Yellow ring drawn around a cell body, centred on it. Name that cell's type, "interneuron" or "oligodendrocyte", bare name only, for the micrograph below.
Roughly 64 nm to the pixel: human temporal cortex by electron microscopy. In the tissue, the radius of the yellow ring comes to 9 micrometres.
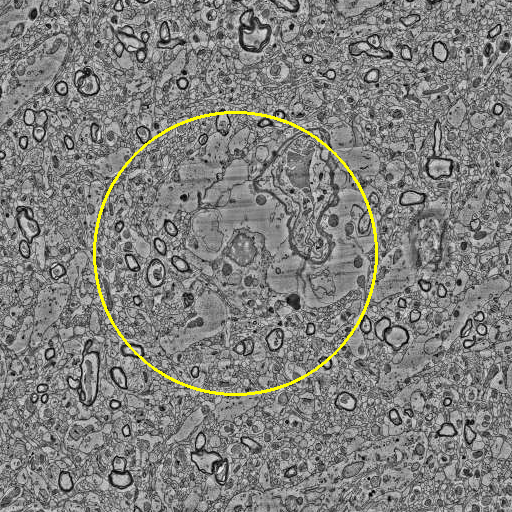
oligodendrocyte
